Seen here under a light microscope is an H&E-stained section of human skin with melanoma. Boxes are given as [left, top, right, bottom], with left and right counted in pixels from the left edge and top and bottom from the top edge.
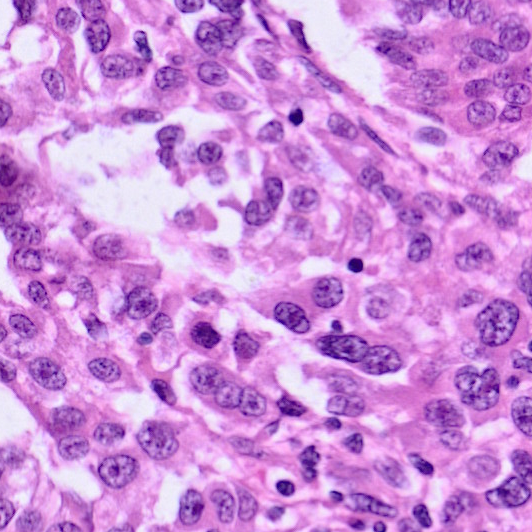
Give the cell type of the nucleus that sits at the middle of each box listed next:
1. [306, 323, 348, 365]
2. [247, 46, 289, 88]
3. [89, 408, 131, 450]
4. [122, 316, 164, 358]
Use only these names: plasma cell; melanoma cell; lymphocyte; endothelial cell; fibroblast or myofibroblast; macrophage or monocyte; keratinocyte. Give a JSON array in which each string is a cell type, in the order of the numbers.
["melanoma cell", "melanoma cell", "melanoma cell", "lymphocyte"]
